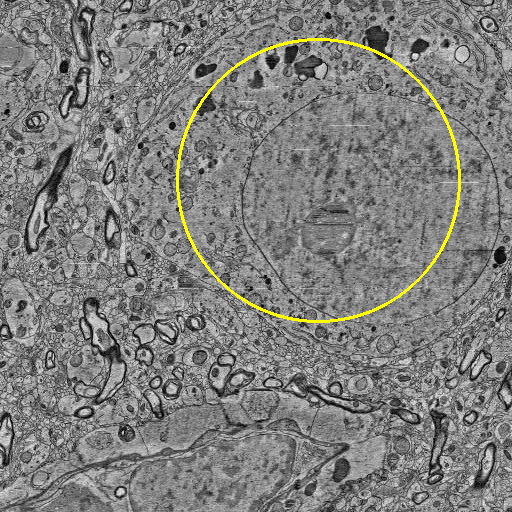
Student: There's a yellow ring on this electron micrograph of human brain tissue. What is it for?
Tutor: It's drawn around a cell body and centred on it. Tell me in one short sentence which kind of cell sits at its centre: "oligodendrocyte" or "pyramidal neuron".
The cell at the centre of the ring is a pyramidal neuron.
